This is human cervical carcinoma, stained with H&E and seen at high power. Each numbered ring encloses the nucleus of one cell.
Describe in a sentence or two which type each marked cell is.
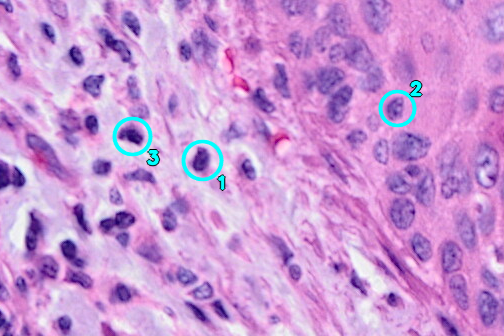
Cells 1 and 3 are lymphocytes. Cell 2 is a squamous carcinoma cell.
